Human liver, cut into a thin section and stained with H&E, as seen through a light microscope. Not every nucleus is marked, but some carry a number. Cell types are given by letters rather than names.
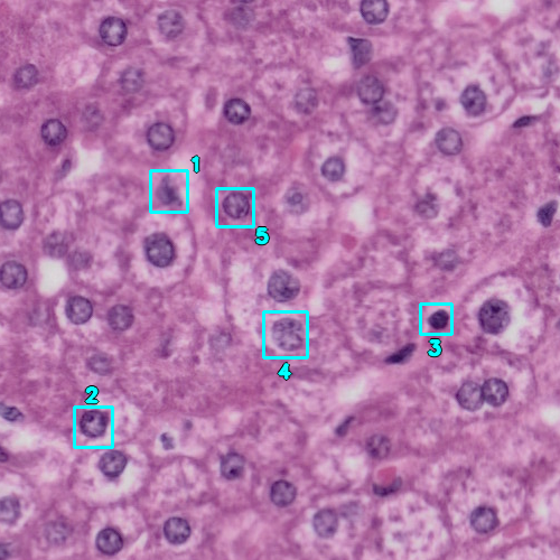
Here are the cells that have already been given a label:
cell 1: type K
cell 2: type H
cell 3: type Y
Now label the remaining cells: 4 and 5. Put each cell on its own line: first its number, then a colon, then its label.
4: type H
5: type H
